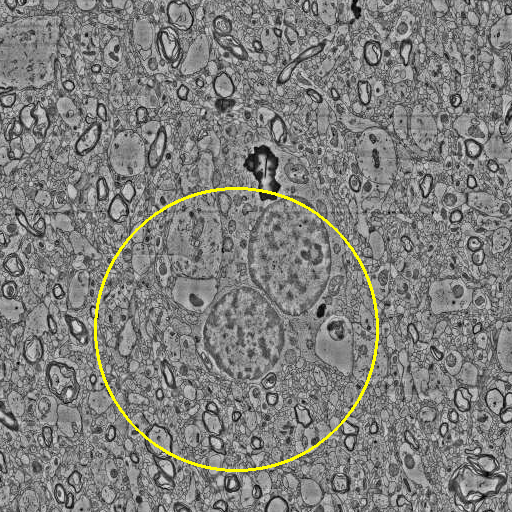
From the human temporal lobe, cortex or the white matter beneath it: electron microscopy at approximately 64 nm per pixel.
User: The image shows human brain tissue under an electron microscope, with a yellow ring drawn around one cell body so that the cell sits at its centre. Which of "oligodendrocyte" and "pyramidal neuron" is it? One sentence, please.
At the centre of the ring sits an oligodendrocyte.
